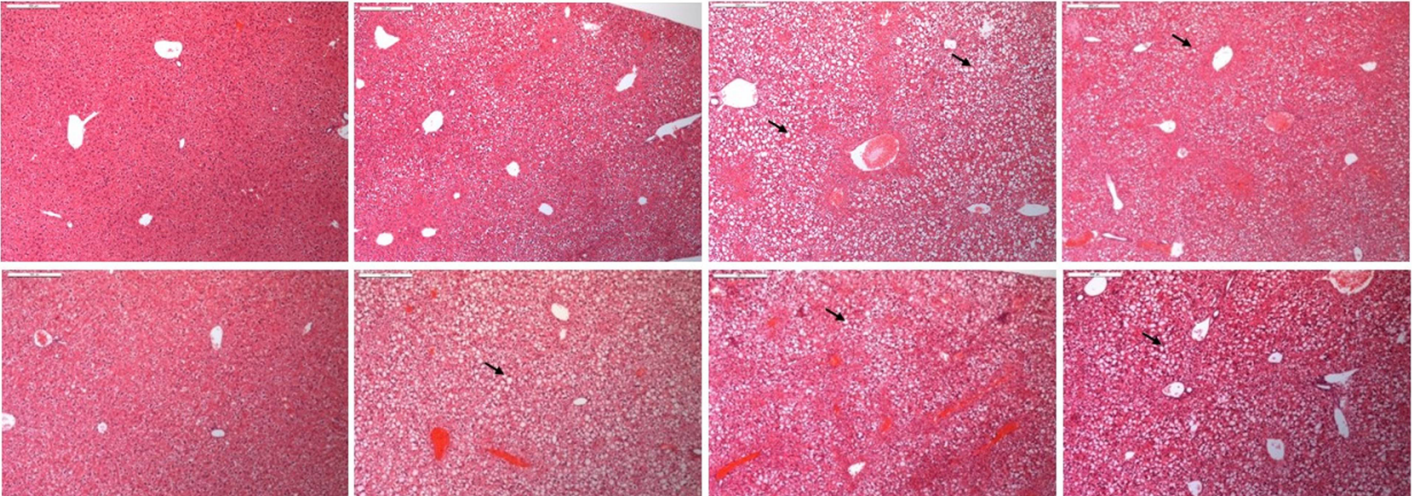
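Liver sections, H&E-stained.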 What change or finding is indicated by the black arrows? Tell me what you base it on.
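The arrows point into pale, foamy areas of the liver parenchyma. Many of the images show numerous small clear spaces within the pink-stained parenchyma. The top-left image has a uniformly pink parenchyma with far fewer clear spaces. So: hepatocytic vacuolization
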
